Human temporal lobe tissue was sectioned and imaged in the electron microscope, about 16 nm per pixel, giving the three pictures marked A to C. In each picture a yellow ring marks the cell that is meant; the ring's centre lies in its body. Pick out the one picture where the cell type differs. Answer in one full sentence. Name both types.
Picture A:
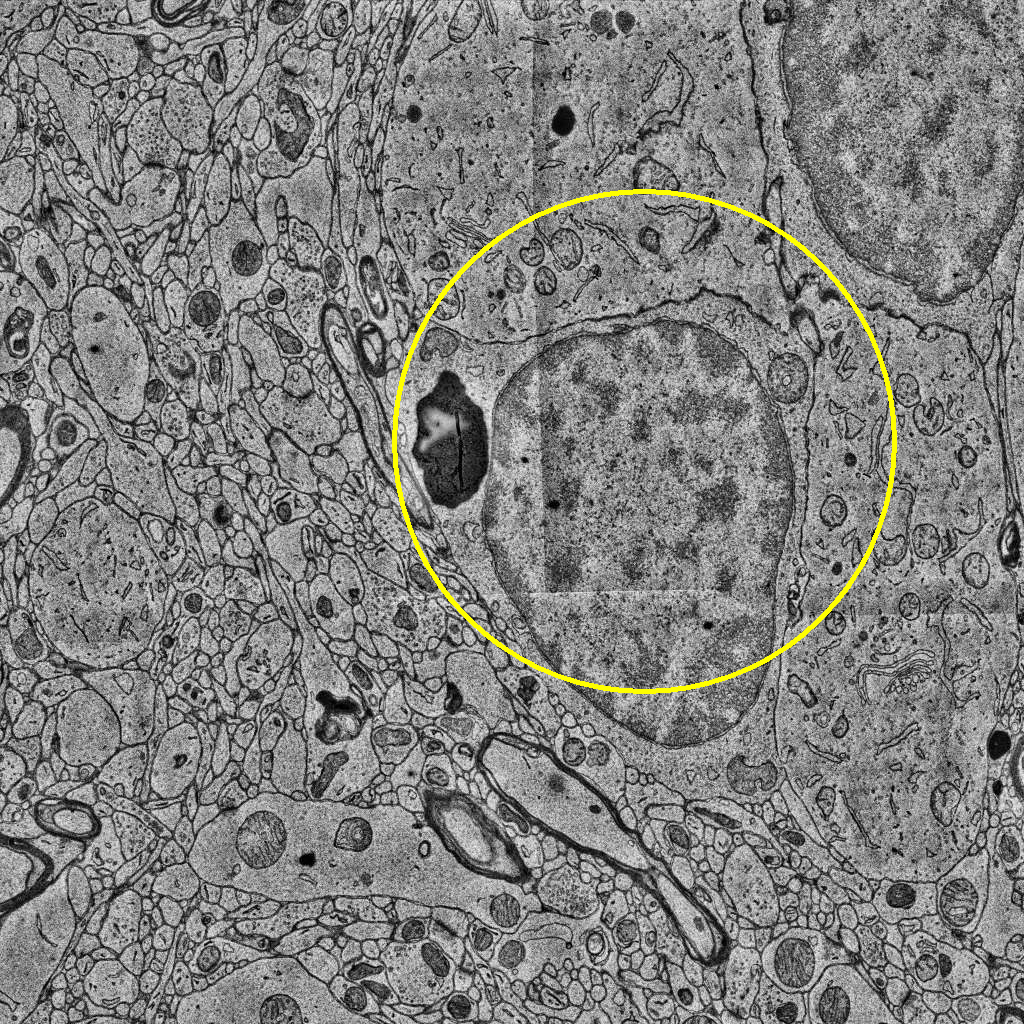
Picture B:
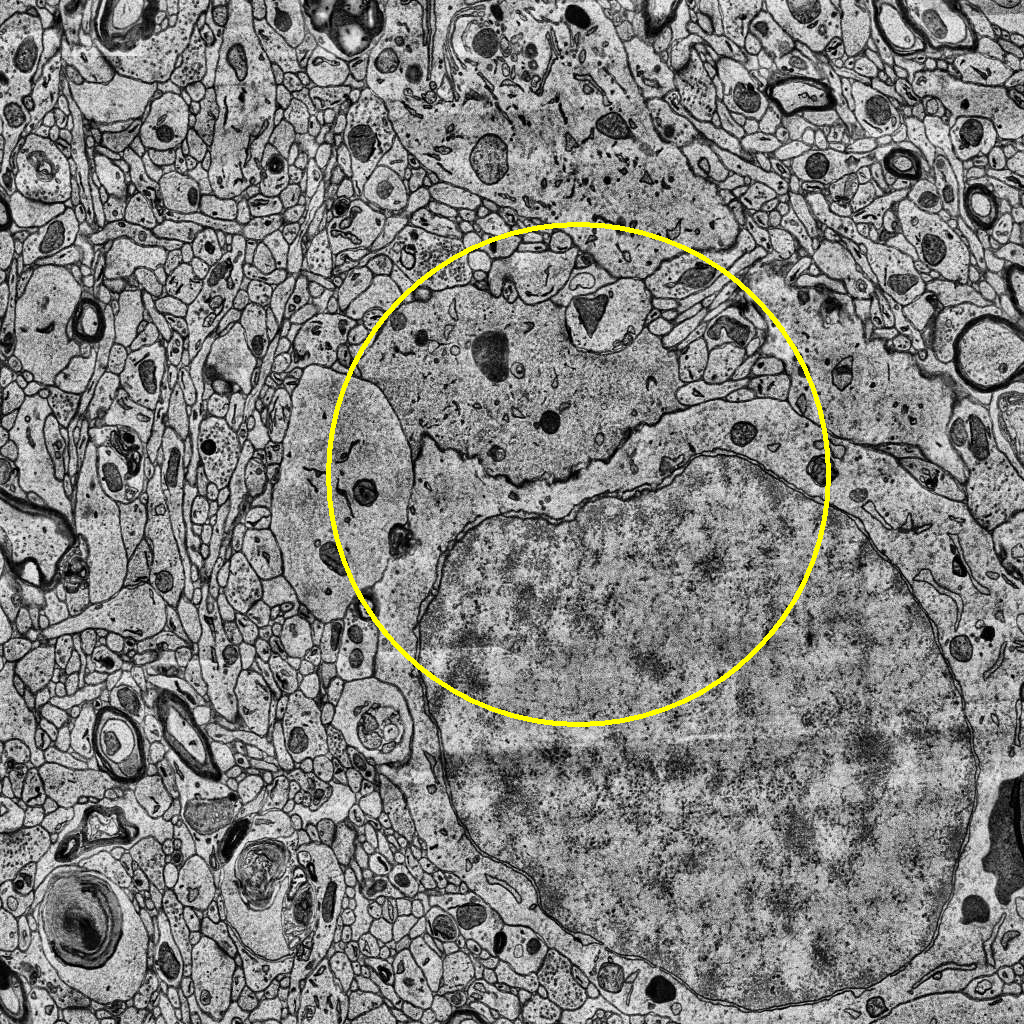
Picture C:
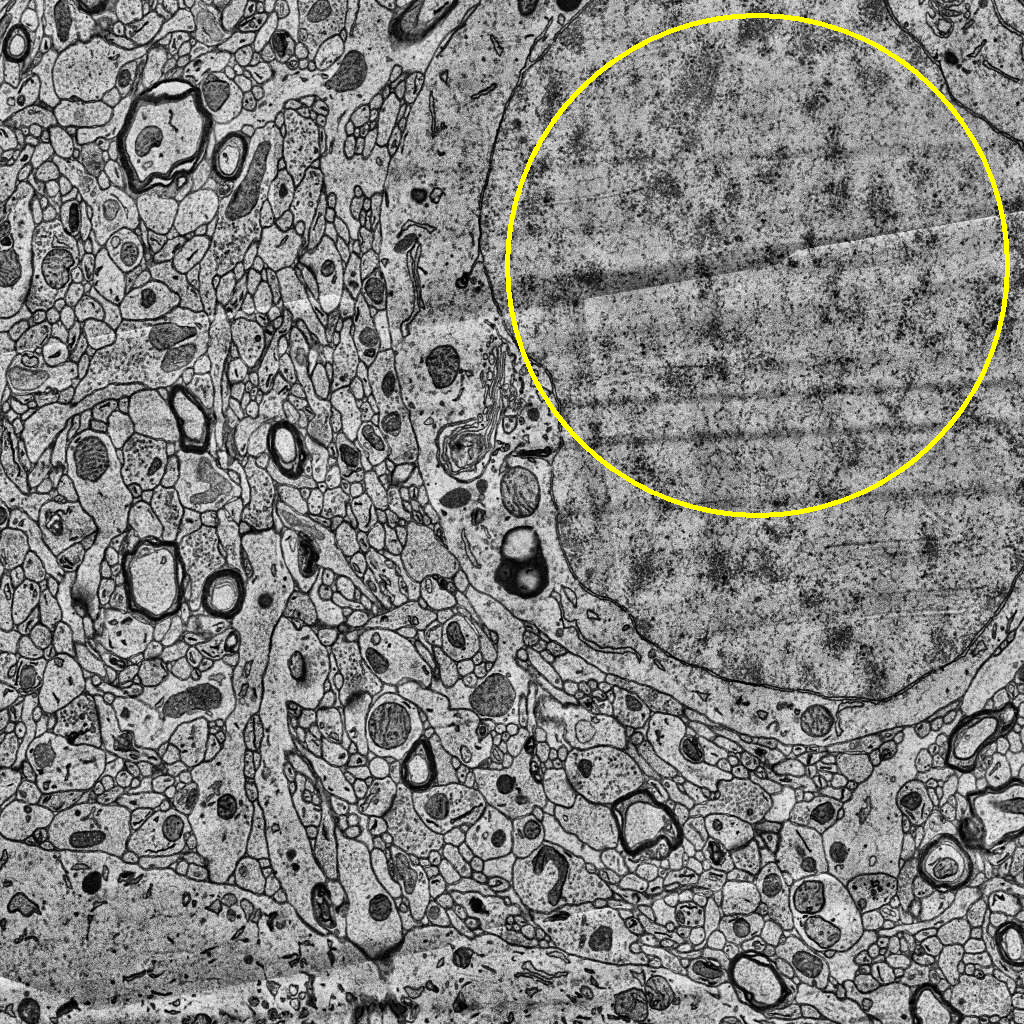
Unlike the rest, which show oligodendrocytes, picture C shows a pyramidal neuron.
